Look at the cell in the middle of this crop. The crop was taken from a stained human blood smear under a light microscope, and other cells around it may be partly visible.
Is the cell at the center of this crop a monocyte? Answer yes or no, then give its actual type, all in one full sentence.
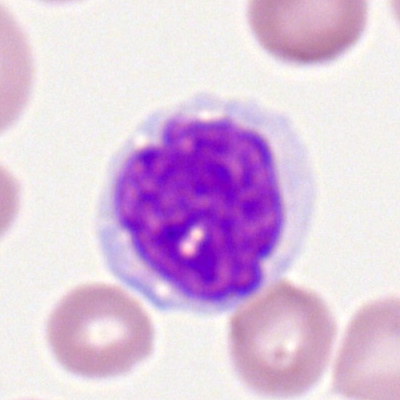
Yes, the cell that occupies the centre is a monocyte.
